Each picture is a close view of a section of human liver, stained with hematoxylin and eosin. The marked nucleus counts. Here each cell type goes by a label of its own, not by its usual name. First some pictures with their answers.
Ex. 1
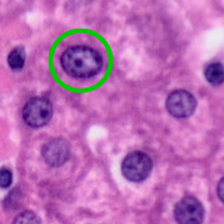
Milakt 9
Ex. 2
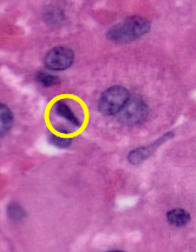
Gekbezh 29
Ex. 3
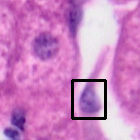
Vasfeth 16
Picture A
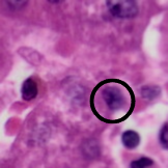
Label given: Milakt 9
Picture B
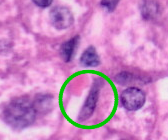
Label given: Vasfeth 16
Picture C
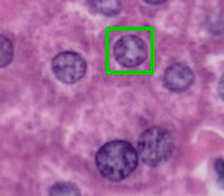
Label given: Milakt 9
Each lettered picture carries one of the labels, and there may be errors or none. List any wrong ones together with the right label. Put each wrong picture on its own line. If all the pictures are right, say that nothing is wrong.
A is labelled Milakt 9; correct label: Gekbezh 29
